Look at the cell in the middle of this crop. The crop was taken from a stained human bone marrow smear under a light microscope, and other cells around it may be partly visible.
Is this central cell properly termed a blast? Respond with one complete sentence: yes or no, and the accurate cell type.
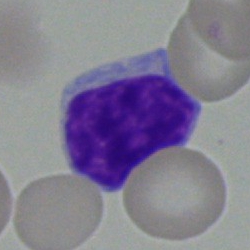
No, the central cell is not to be called a blast, being a lymphocyte.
